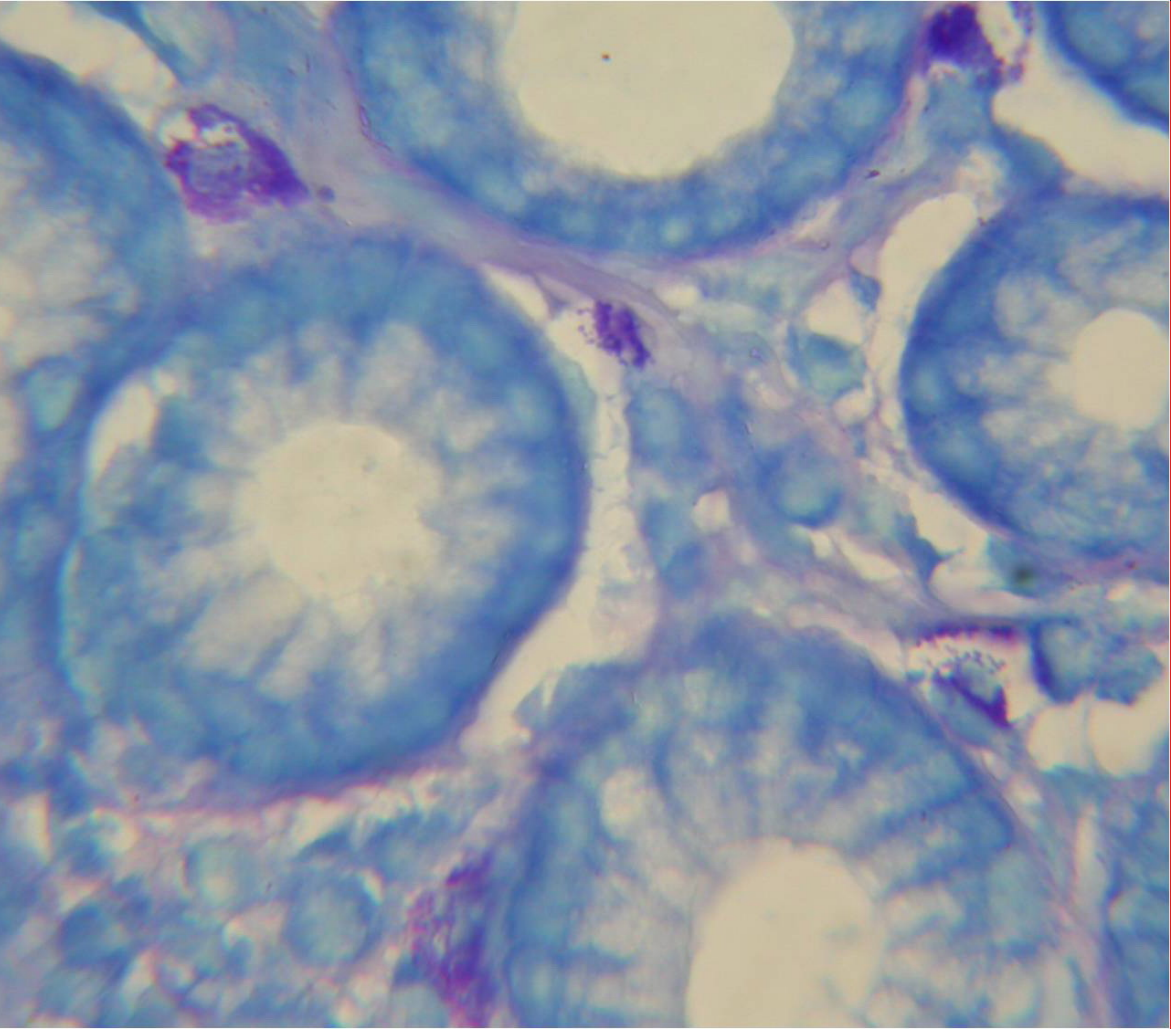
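Scattered between several round glands cut in cross section, a handful of cells stand out in the thin connective tissue: mast cells whose cytoplasm is packed with coarse purple-violet granules. Some granules lie loose just beside the cells. The cells are irregular, oval to spindle-shaped, and sit singly in the narrow strands of tissue between the glands. The glands themselves are lined by a ring of blue-stained columnar epithelium, with many pale, clear vacuole-like cells and a pale central lumen. The metachromatic purple granules set the mast cells apart from everything else in the field.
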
